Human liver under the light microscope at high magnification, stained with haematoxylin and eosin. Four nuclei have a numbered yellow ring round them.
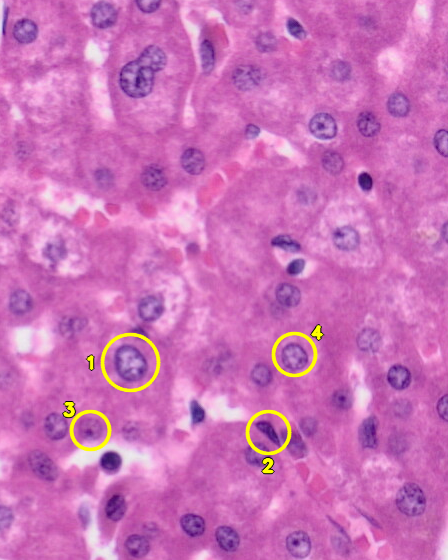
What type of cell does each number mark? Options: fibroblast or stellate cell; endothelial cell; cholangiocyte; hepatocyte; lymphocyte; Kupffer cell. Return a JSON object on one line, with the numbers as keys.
{"1": "hepatocyte", "2": "fibroblast or stellate cell", "3": "hepatocyte", "4": "hepatocyte"}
